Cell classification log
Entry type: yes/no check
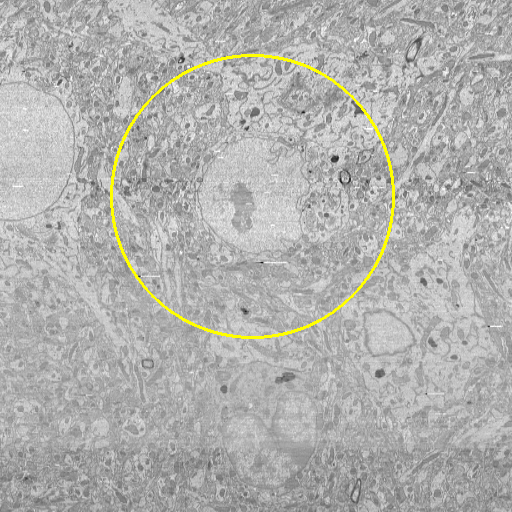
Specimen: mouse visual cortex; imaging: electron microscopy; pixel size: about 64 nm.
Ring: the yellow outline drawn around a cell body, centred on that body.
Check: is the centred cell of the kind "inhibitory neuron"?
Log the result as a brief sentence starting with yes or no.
Yes, the cell is of that kind.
